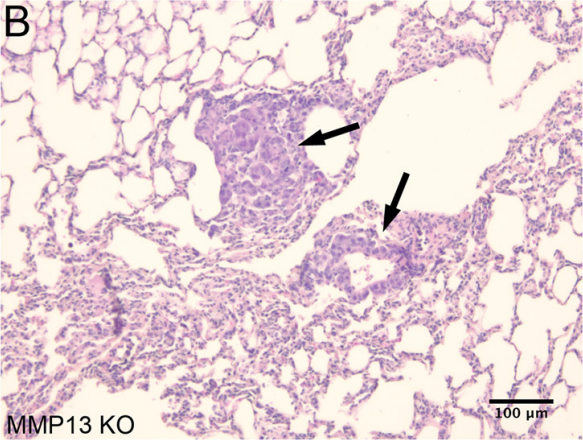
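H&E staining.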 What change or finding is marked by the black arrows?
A: Metastases.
